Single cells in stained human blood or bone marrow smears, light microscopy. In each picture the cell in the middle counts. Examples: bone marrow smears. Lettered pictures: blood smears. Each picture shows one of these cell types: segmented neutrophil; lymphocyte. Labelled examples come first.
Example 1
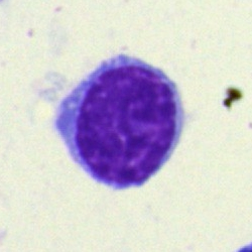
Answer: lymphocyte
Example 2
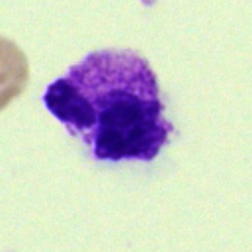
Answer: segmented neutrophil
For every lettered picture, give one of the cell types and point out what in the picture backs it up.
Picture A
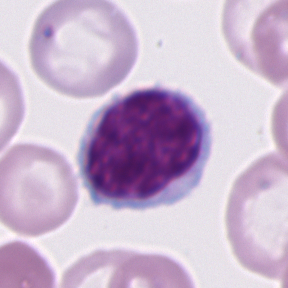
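lymphocyte. Evidence: The cytoplasm forms only a thin rim around the nucleus.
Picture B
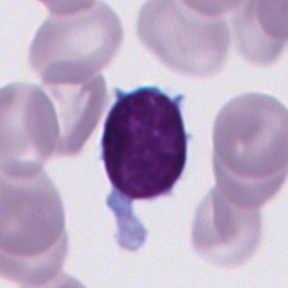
lymphocyte. Evidence: Only a very thin rim of cytoplasm is visible around the nucleus.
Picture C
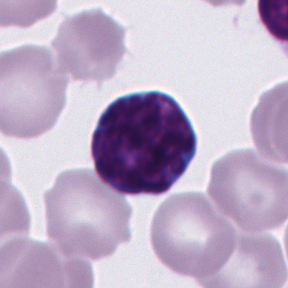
lymphocyte. Evidence: Cytoplasm shows only as a very thin blue rim along parts of the cell's edge.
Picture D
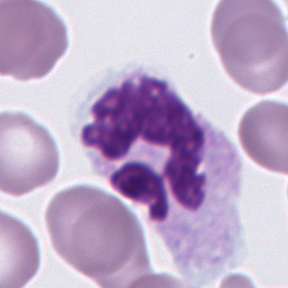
segmented neutrophil. Evidence: The nucleus forms a curved band of lobes that wraps around a pale central area of cytoplasm.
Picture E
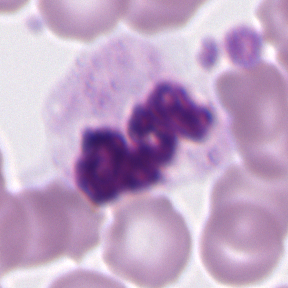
segmented neutrophil. Evidence: The cytoplasm is abundant and pale lilac.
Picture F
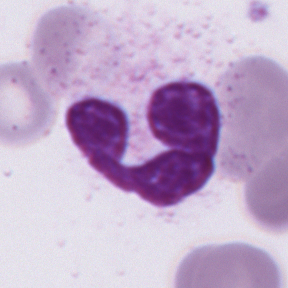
segmented neutrophil. Evidence: The cytoplasm is very pale, nearly colourless.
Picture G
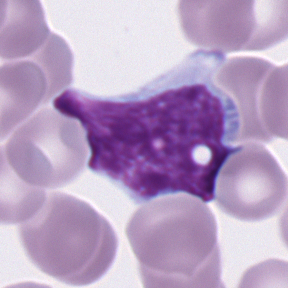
lymphocyte. Evidence: The dark purple nucleus fills most of the cell and follows its angular outline.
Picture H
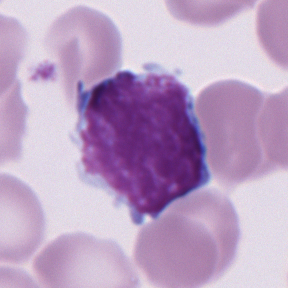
lymphocyte. Evidence: The nucleus fills almost the whole cell.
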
